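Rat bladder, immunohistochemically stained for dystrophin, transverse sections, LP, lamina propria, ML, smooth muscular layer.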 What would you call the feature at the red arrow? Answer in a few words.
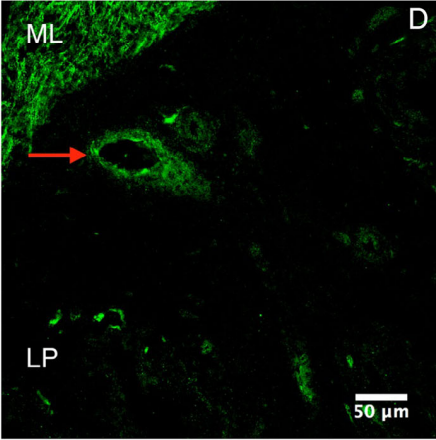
blood vessels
